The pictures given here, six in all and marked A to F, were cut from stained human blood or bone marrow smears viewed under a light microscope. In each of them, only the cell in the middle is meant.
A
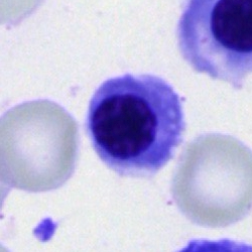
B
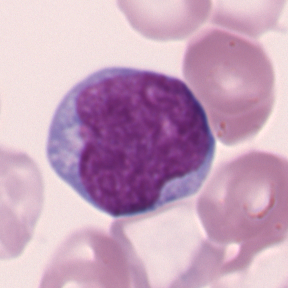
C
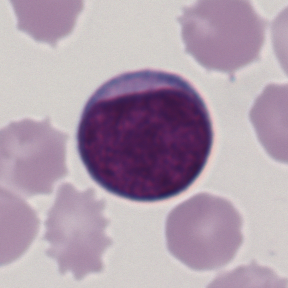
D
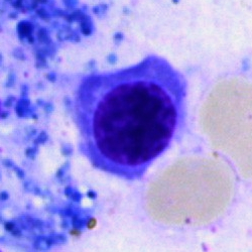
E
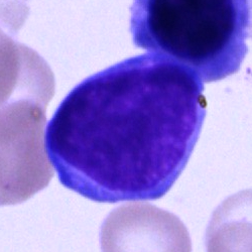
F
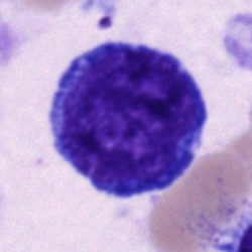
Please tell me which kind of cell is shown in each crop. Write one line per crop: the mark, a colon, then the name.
A: erythroblast
B: blast
C: blast
D: erythroblast
E: blast
F: blast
